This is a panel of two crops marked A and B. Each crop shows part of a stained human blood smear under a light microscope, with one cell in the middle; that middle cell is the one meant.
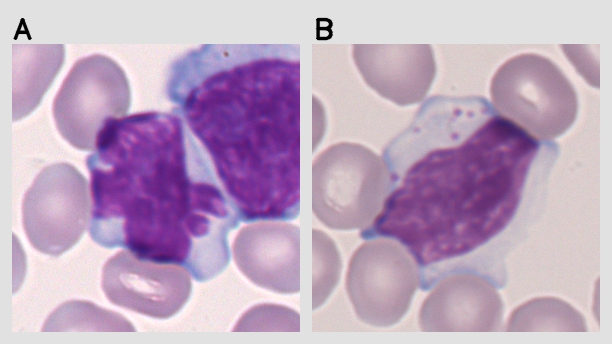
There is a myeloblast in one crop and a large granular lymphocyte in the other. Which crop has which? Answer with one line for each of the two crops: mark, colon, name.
A: myeloblast
B: large granular lymphocyte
